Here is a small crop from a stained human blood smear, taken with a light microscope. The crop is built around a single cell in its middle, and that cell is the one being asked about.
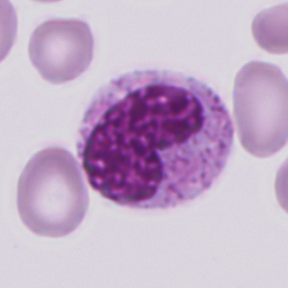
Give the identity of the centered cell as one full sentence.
In short, the cell at the center is a band neutrophil.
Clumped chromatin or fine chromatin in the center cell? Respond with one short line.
Just so you know, its chromatin is coarsely clumped.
